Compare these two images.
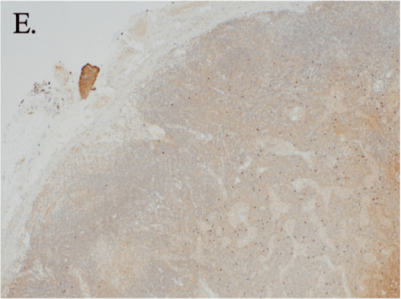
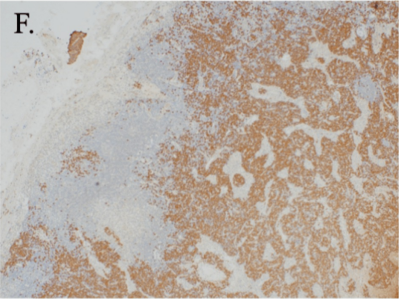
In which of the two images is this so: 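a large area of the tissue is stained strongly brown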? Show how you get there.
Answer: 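Second image: the right and central part of the tissue is deep brown, with a paler bluish zone toward the capsule.
Answer: the second image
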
